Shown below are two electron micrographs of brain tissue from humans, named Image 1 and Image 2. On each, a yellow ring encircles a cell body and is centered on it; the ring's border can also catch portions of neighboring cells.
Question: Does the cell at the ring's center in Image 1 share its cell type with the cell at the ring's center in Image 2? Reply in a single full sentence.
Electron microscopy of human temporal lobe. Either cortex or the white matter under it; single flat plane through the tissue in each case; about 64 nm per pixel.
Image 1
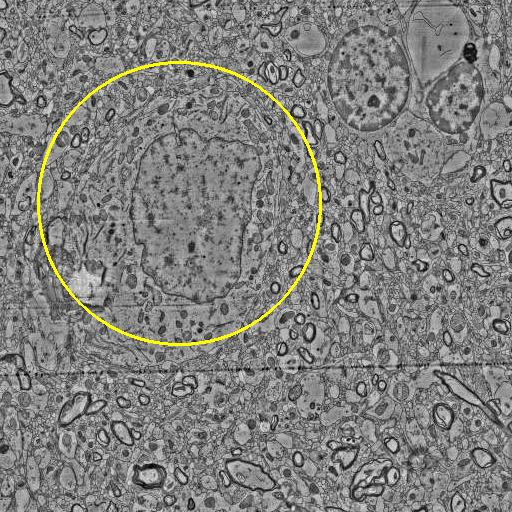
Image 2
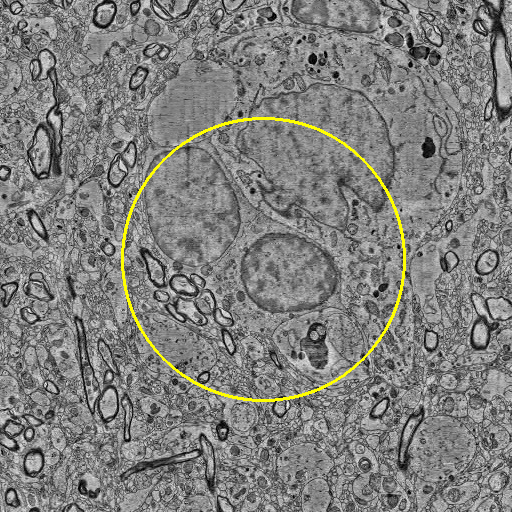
No, the two cells at the ring centers, in Image 1 and Image 2, are of two cell types.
